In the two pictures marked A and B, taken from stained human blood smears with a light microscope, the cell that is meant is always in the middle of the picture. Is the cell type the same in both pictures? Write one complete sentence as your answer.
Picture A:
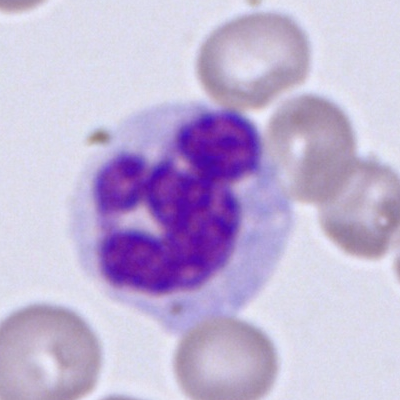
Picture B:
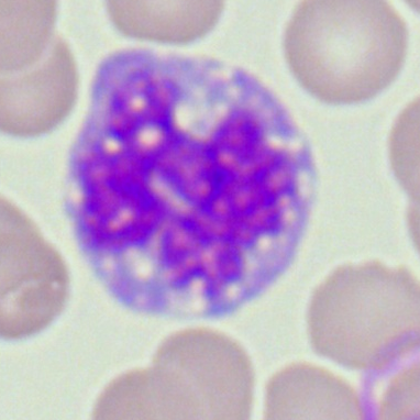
Yes; the cells in both pictures are monocytes.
